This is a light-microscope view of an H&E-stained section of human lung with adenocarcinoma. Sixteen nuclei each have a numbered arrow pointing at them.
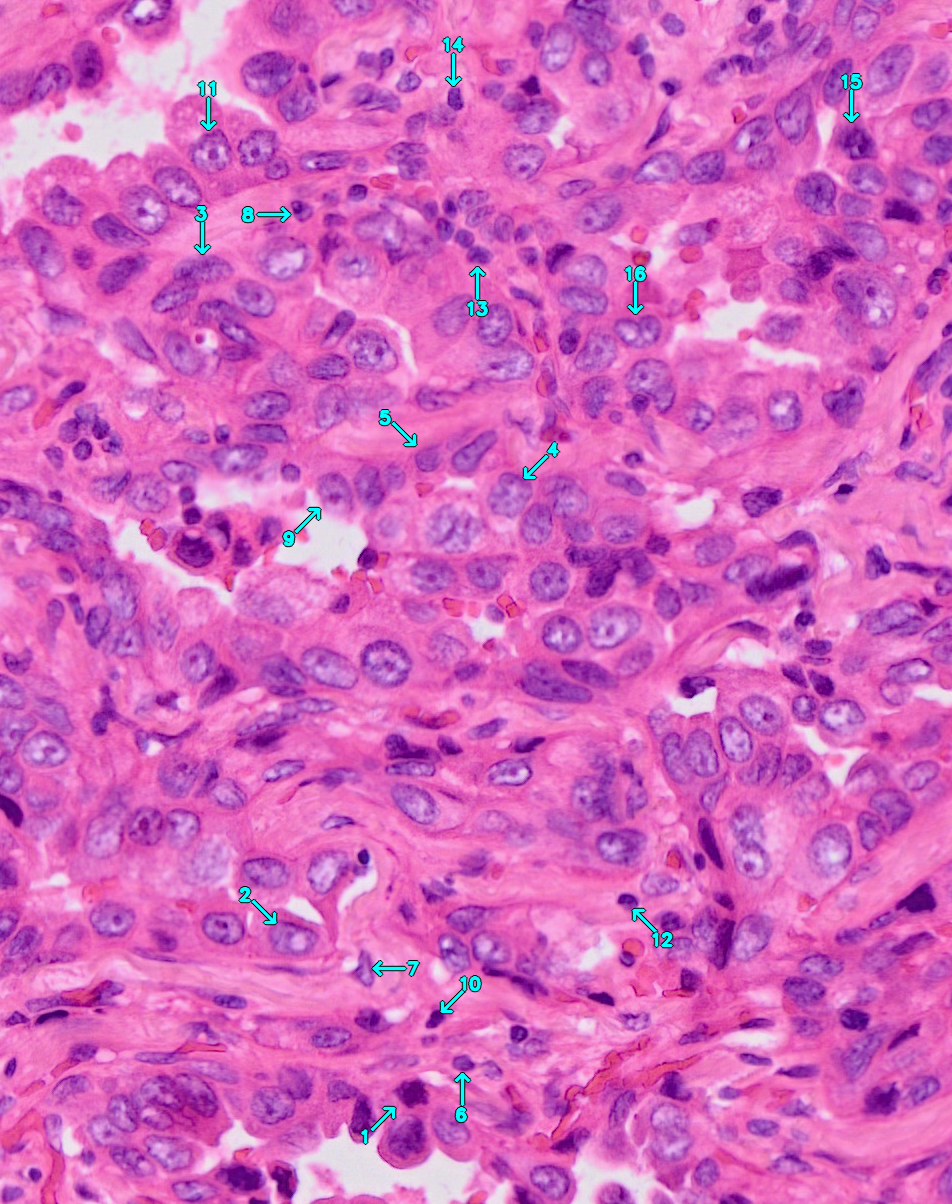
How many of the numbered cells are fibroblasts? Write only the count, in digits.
1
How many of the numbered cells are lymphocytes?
6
